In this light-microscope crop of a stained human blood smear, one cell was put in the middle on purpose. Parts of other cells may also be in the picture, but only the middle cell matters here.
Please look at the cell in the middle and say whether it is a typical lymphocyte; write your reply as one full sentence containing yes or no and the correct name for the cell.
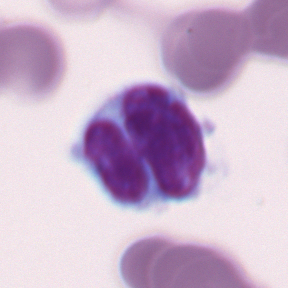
Yes, the middle cell is classified as a typical lymphocyte.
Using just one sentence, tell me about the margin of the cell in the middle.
The cell margin is rough and uneven, either ragged or drawn into projections.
